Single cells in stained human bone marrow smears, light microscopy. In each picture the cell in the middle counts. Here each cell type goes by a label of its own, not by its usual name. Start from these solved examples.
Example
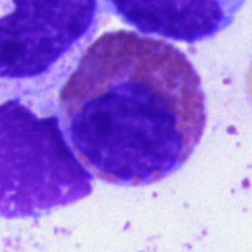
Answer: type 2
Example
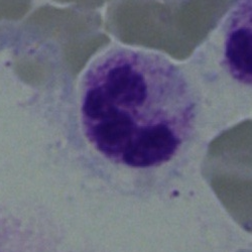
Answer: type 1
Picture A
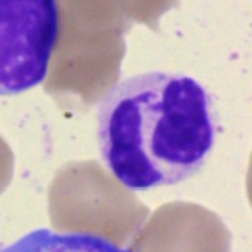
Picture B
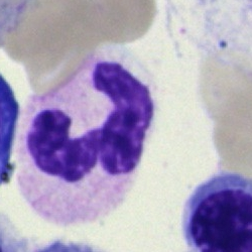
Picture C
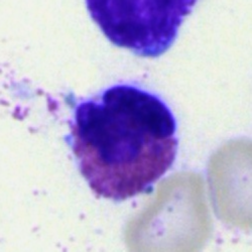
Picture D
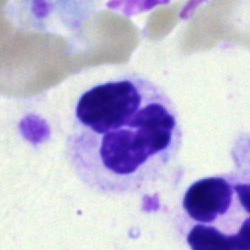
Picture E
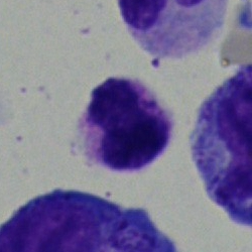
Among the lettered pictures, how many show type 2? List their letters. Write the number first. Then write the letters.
1, namely C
